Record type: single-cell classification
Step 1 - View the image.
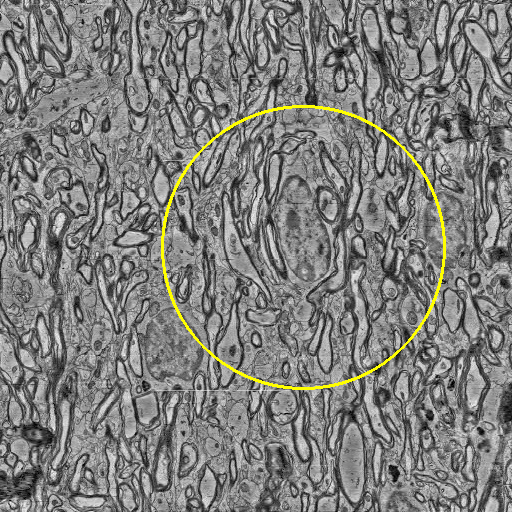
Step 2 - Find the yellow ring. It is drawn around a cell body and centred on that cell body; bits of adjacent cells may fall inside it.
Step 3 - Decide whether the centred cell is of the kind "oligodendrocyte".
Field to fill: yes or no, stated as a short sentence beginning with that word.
No, the centred cell belongs to another kind.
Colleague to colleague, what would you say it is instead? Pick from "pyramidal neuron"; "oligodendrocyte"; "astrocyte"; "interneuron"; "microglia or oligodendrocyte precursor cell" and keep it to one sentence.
Here, the ring is centred on a microglial cell or oligodendrocyte precursor cell instead.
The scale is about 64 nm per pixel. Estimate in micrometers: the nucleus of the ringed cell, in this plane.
In this plane the nucleus is clearly longer than it is wide, at approximately 7 by 3 micrometres.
